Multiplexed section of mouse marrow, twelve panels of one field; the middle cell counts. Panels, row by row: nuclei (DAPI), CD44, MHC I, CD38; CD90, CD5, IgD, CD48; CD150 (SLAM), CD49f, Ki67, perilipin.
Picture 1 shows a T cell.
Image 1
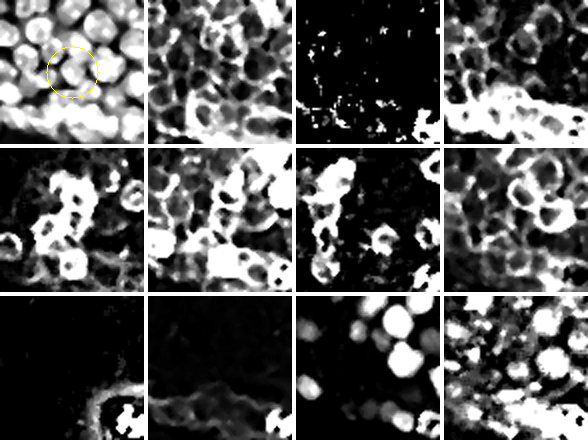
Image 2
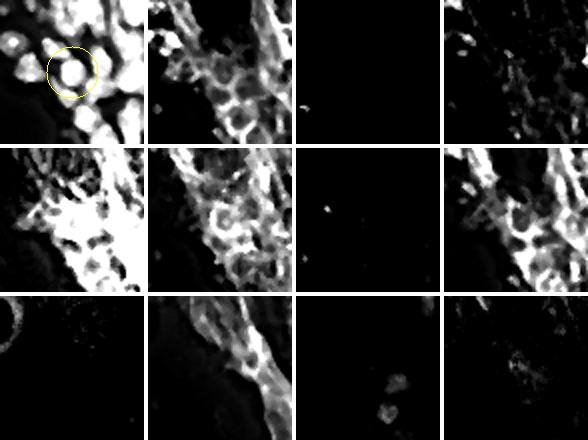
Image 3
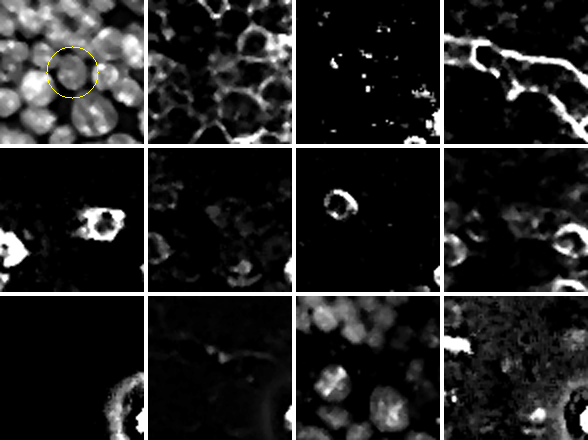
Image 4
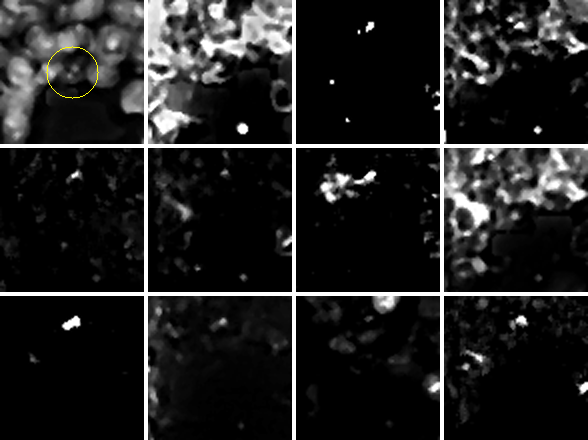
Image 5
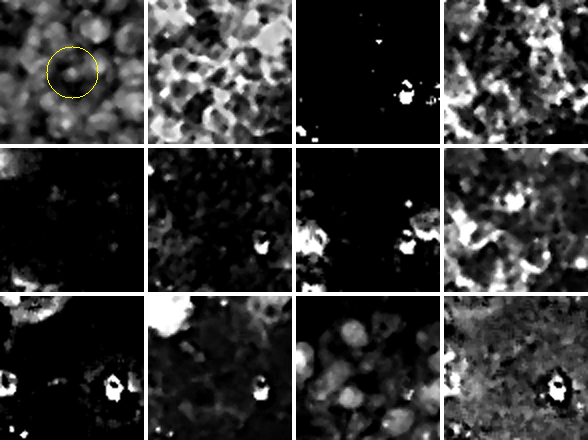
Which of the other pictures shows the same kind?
Picture 2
